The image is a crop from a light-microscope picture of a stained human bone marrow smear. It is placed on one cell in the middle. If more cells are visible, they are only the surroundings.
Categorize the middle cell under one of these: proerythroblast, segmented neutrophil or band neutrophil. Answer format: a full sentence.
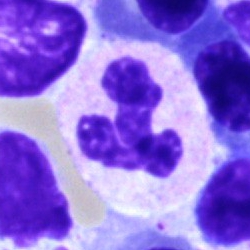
Framed in the middle of the crop is a segmented neutrophil.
